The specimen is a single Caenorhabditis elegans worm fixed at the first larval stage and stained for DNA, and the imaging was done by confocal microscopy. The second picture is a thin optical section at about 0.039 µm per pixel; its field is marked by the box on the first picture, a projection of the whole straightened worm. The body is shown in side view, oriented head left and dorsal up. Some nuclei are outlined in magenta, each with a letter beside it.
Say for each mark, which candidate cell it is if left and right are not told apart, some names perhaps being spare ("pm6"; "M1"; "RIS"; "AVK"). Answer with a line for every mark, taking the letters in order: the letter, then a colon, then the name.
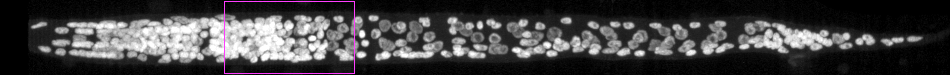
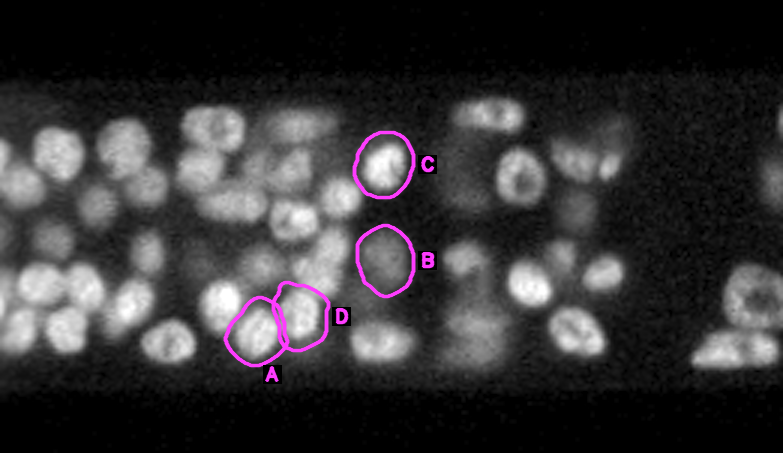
A: RIS
B: pm6
C: M1
D: AVK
